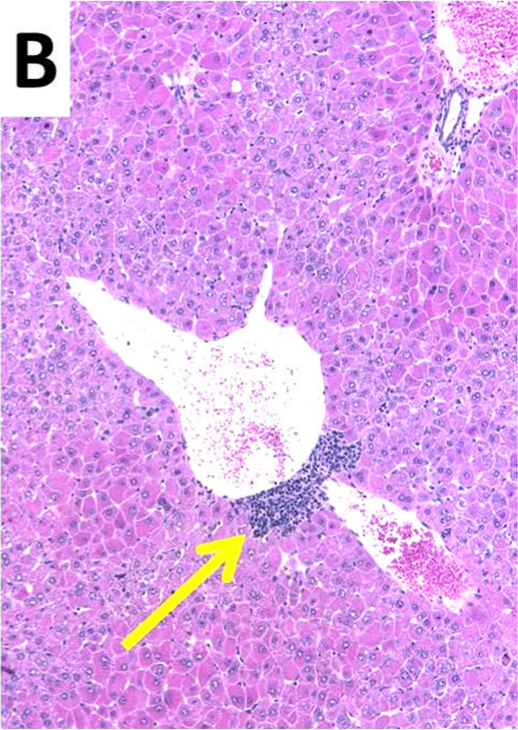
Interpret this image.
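This is liver parenchyma of polygonal hepatocytes with pink cytoplasm and round nuclei, surrounding a large, irregular, dilated vessel that holds scattered red blood cells. At one edge of the vessel lies a tight cluster of small cells with dark-blue round nuclei and little cytoplasm, clearly unlike the hepatocytes. This cluster is an inflammatory cellular infiltrate. A second vessel filled with red blood cells lies beside it, and a small portal area is seen toward one corner.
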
